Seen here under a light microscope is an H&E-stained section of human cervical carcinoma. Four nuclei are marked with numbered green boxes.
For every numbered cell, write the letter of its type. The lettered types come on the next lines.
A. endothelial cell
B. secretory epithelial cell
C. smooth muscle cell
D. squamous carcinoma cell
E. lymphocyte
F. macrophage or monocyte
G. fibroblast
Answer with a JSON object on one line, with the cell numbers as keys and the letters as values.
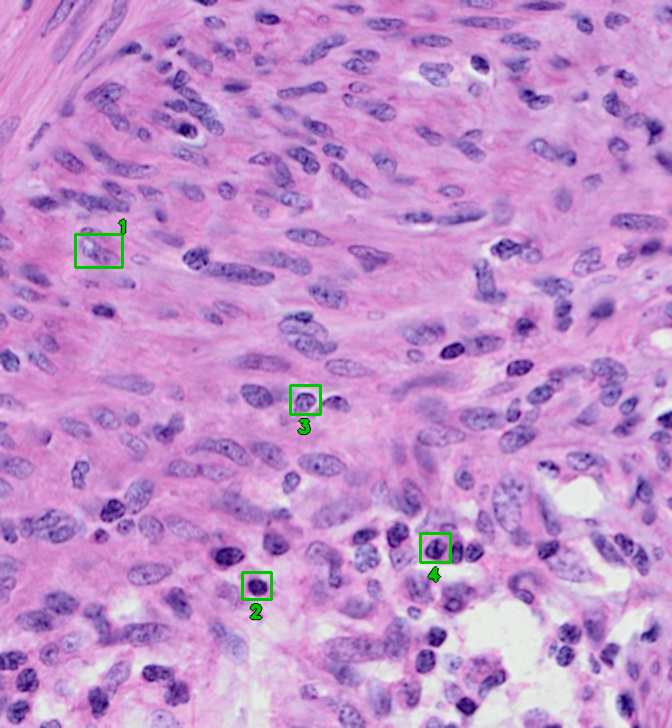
{"1": "C", "2": "E", "3": "E", "4": "E"}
